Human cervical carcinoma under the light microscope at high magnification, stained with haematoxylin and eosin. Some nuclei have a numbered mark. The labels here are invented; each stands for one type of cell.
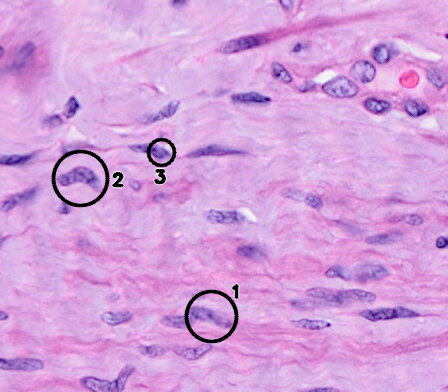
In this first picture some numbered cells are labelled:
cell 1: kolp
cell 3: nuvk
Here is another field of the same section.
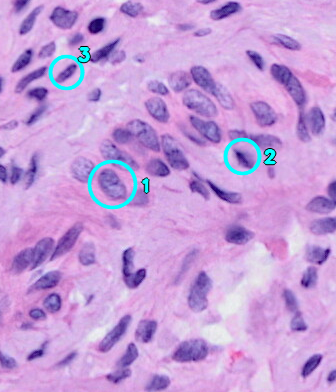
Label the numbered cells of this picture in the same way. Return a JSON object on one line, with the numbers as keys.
{"1": "kolp", "2": "nuvk", "3": "nuvk"}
